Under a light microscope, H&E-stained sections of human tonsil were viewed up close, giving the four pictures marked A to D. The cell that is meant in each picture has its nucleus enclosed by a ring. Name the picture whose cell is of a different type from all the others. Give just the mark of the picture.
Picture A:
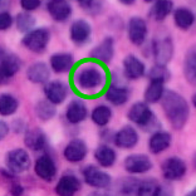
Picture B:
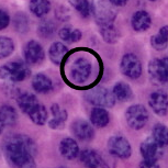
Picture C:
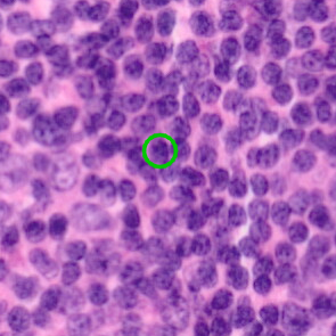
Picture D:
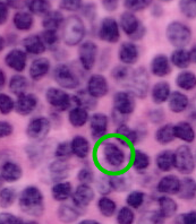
B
